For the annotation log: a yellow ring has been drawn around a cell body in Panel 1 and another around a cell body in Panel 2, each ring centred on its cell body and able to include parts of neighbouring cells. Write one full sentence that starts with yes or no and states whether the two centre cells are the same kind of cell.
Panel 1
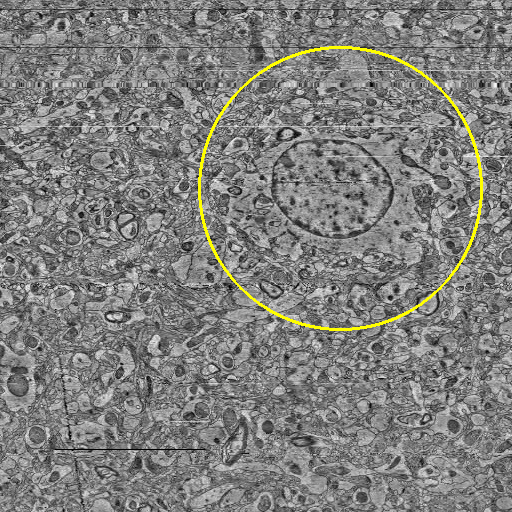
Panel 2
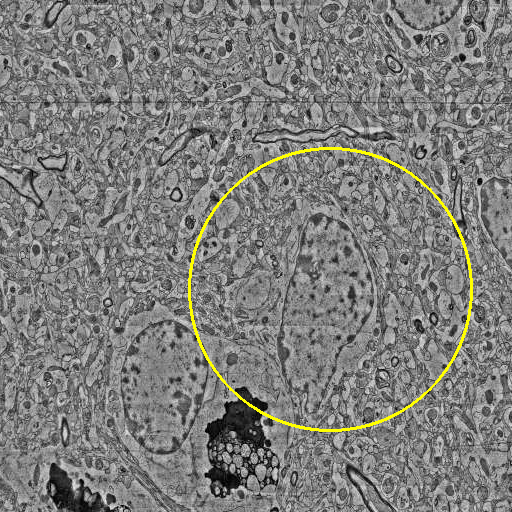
No, the two centre cells are two kinds of cell.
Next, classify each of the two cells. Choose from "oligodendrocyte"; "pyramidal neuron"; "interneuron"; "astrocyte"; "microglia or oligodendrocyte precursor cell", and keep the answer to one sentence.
In the first picture it is an astrocyte; in the second it is a microglial cell or oligodendrocyte precursor cell.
